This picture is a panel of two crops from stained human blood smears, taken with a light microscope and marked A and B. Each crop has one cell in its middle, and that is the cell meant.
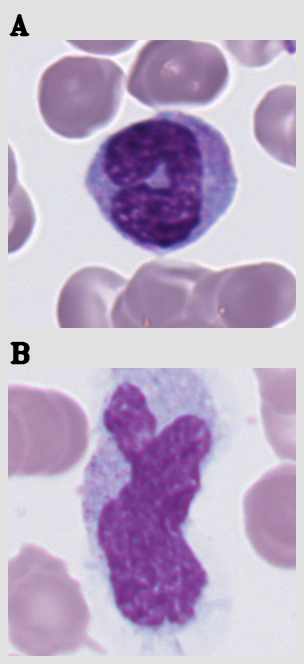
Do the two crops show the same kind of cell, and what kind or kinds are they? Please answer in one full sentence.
Yes, the two cells in the two crops are monocytes.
